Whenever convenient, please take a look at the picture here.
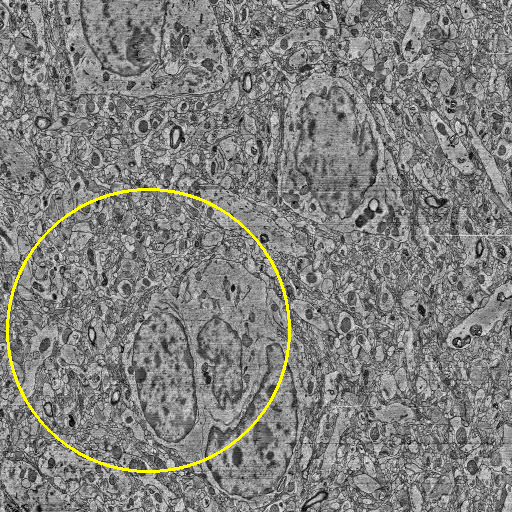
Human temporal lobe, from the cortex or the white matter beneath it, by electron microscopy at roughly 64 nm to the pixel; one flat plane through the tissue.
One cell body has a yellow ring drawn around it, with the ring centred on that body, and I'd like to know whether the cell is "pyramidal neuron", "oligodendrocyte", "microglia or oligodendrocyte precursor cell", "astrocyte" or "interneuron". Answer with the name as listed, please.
microglia or oligodendrocyte precursor cell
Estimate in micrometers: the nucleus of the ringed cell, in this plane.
In this plane, roughly 9 by 4 micrometres.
